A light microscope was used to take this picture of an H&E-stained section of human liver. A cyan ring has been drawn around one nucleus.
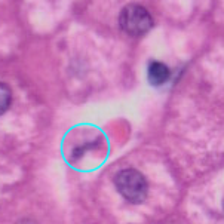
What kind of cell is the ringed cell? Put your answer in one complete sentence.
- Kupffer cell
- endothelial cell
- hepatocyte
The cell meant here is a Kupffer cell.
